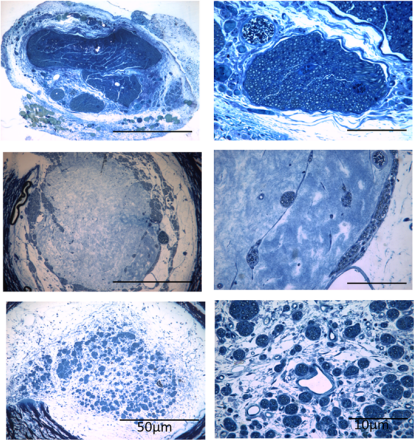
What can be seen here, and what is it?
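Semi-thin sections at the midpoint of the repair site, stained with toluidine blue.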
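At low magnification, dark blue areas of nerve tissue lie within paler, looser surrounding tissue. In one case, a large compact dark region is bordered by a loose outer sheath; in another, the section is mostly pale and homogeneous with sparse darker strands; in a third, many small, rounded dark-blue bundles are scattered through loose tissue. At higher magnification, the dark areas resolve into many tiny ring-shaped profiles packed together.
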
